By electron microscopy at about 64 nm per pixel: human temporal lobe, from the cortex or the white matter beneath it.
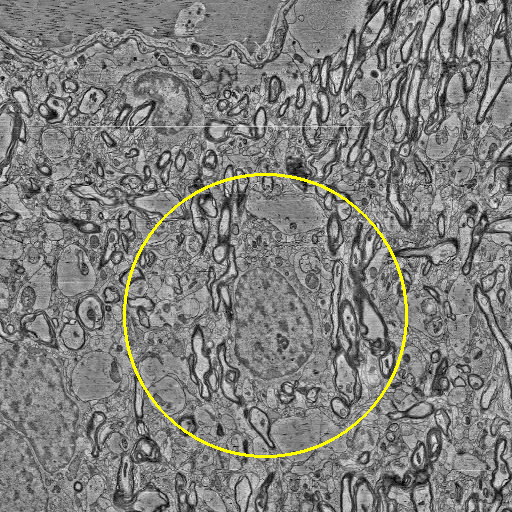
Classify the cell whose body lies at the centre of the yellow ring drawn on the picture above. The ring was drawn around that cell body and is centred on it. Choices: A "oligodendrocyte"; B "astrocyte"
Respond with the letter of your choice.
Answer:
A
